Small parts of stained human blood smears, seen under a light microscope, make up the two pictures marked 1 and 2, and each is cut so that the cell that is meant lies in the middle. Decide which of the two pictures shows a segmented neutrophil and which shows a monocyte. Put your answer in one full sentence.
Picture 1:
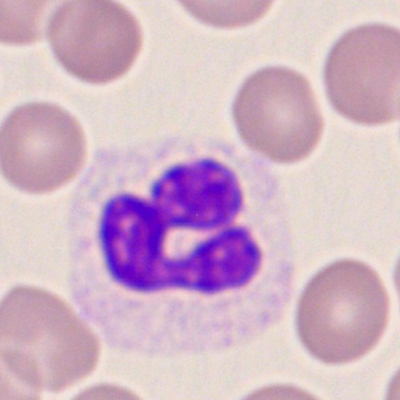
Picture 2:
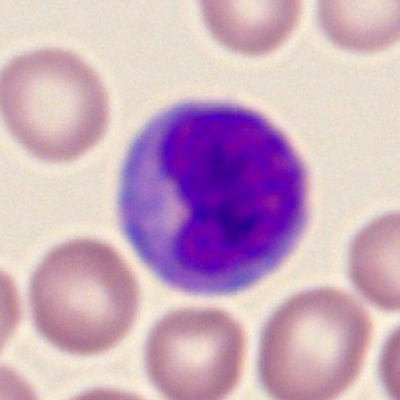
In picture 1 the cell is a segmented neutrophil; in picture 2, a monocyte.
